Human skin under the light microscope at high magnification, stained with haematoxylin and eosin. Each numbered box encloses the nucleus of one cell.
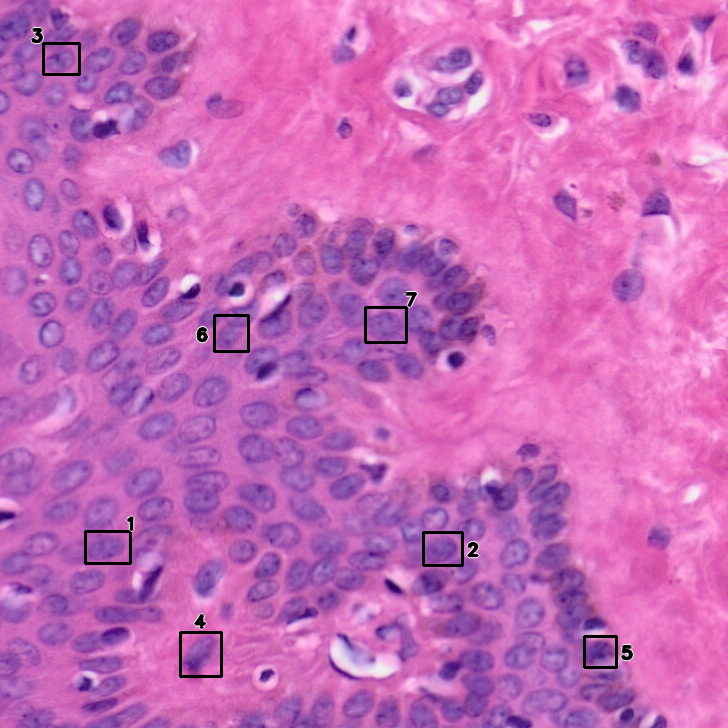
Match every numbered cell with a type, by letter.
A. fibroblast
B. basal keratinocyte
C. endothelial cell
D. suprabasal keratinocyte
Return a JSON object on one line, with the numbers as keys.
{"1": "D", "2": "B", "3": "B", "4": "A", "5": "B", "6": "B", "7": "D"}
